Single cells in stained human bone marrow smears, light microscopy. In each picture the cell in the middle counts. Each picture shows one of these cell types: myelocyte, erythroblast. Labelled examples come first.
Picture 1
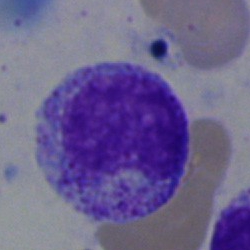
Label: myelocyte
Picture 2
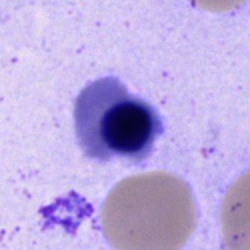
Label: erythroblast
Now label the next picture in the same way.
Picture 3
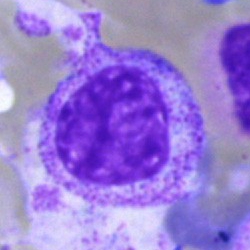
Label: myelocyte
